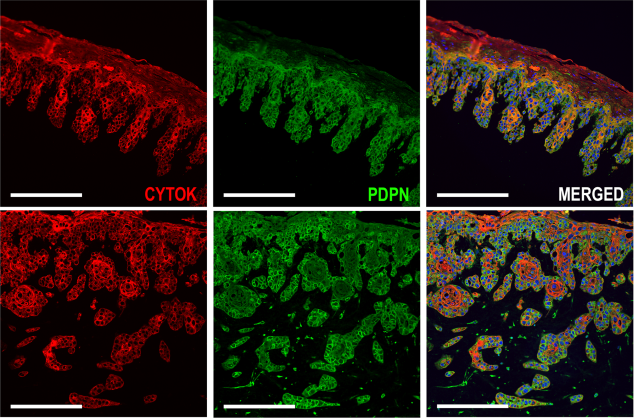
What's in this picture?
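In the upper row the cells form a continuous surface layer with rounded, finger-like downward projections, and the matrix beneath is dark and essentially free of cells. In the lower row many irregular red and green nests and strands of tumor cells lie detached within the underlying matrix, among scattered slender spindle-shaped cells that are green but not red.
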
